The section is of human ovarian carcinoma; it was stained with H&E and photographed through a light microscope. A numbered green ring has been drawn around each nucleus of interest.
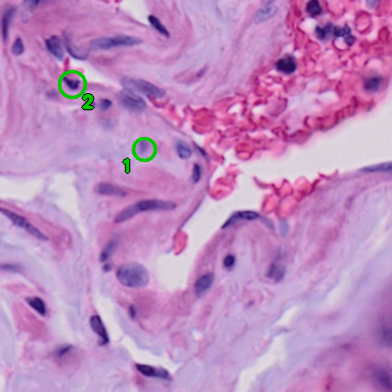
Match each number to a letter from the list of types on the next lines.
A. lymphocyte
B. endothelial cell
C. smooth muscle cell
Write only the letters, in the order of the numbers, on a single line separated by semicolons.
C; B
